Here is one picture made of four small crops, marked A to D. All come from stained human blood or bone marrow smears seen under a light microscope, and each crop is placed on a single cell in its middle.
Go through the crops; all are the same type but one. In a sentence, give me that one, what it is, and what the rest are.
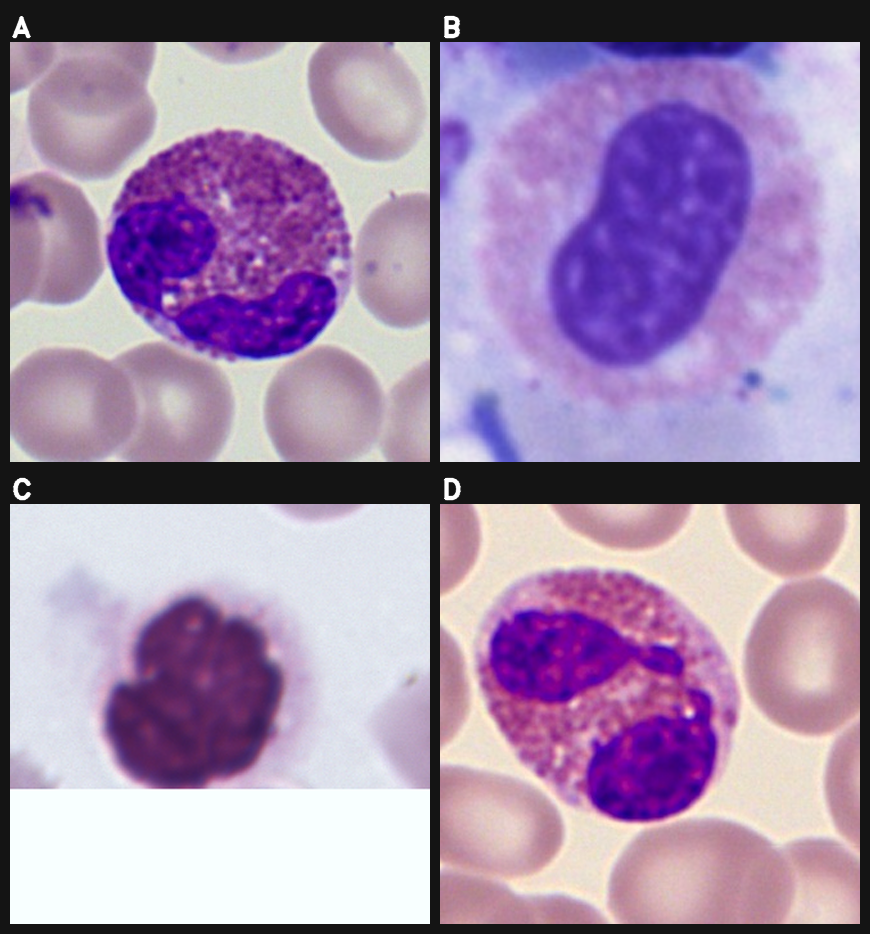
Among the crops, crop C is unique in showing a segmented neutrophil; the others show eosinophils.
